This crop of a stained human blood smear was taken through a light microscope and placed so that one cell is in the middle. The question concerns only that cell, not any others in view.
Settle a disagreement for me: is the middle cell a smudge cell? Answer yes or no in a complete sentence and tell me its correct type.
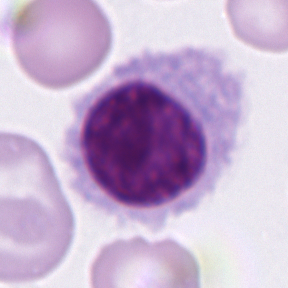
No, the cell in the centre of the crop is a hairy cell as opposed to a smudge cell.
